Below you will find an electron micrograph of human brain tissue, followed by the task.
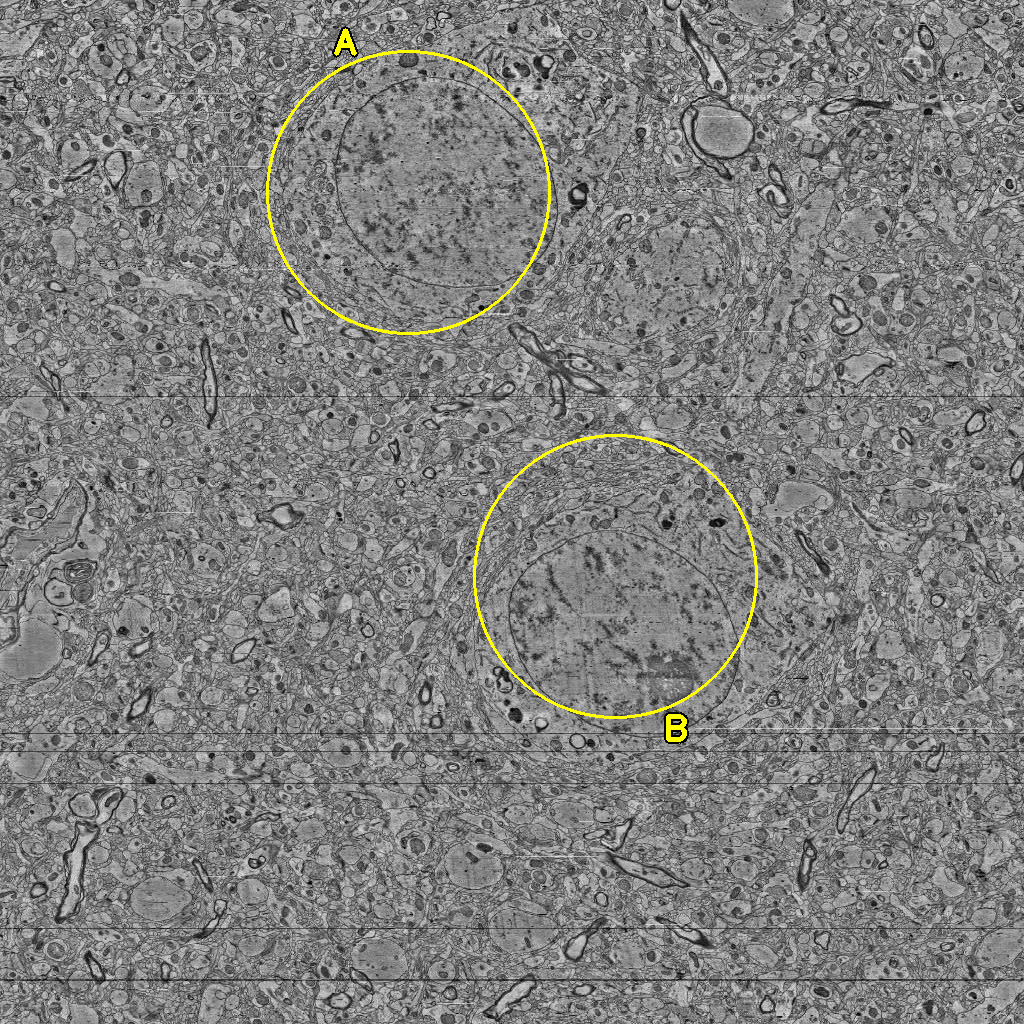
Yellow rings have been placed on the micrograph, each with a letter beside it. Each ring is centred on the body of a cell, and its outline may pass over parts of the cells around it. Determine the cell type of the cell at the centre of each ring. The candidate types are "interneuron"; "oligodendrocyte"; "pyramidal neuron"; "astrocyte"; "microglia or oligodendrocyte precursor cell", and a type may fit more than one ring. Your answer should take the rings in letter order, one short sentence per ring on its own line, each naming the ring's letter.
The centre of ring A falls on a pyramidal neuron.
The centre of ring B falls on a pyramidal neuron.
